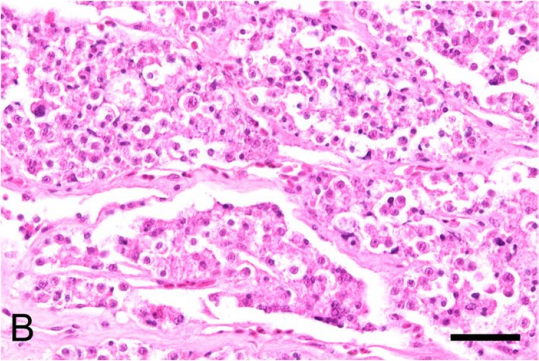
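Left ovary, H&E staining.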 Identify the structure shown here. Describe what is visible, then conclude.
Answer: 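Cord-like formations. Round cells lie in elongated bands and nests. Thin pink strands of stroma with clefts run between the bands.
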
